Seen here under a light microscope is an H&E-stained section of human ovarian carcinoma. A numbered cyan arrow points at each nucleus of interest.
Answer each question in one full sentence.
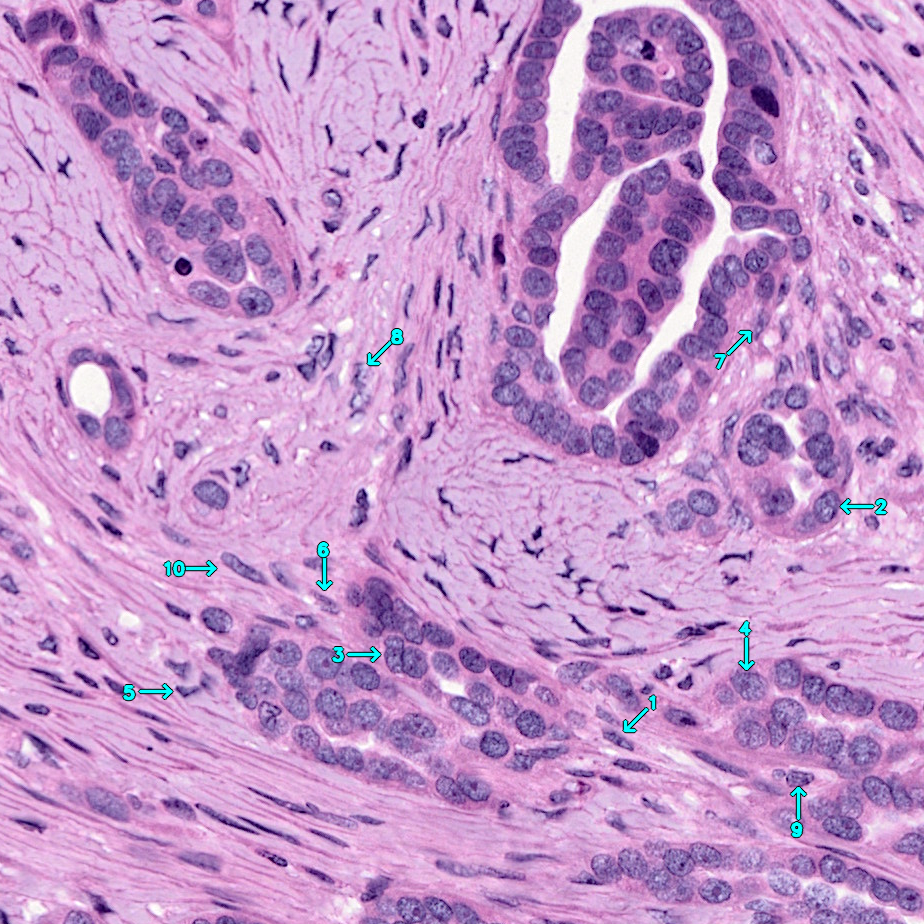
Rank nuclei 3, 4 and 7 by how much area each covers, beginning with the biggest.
From largest to smallest, the order is 4, 3, 7.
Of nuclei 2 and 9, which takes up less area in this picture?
Nucleus 9 is the smaller one; nucleus 2 covers about 2 times its area.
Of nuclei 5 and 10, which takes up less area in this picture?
The smaller nucleus is 5, and 10 covers roughly 3 times its area.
